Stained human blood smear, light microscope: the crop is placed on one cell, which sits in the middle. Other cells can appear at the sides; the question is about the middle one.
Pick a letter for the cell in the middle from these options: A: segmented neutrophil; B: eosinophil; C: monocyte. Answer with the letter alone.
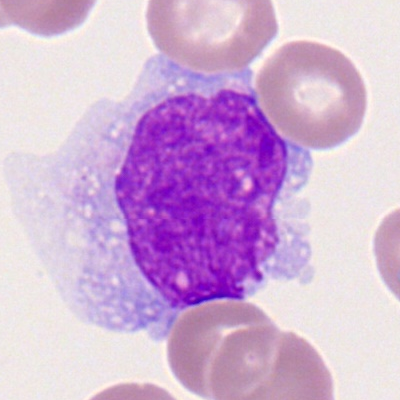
C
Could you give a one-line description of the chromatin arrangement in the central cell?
The key point is fine chromatin with no coarse clumps.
